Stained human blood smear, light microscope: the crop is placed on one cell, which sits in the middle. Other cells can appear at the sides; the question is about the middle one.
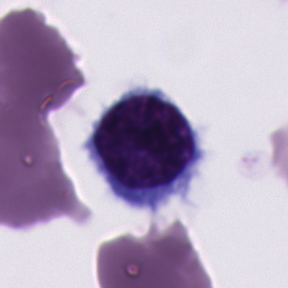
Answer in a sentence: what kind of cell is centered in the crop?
In the middle of this smear crop is a hairy cell.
